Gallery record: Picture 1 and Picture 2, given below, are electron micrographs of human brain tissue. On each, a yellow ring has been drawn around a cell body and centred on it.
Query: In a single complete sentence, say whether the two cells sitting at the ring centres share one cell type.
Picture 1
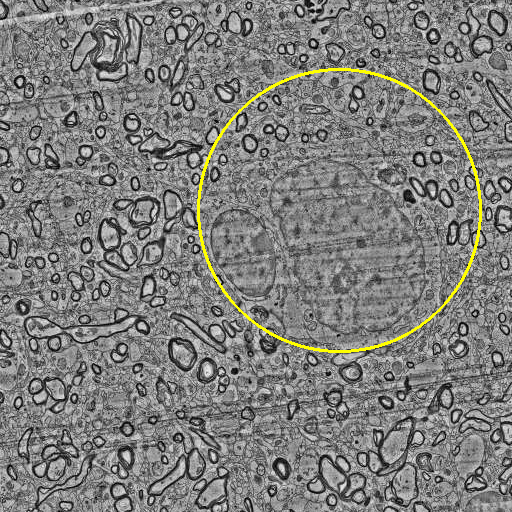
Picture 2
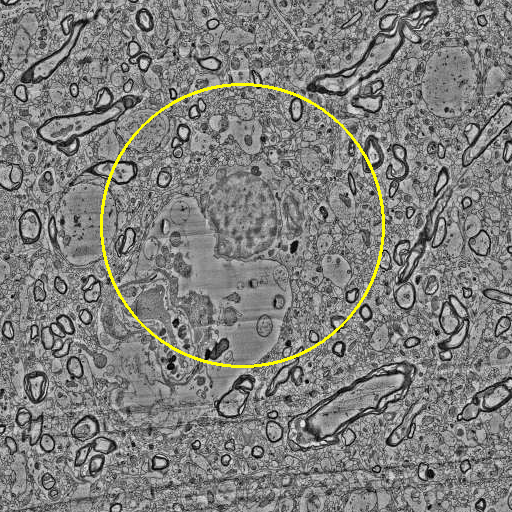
No, in the two pictures the cells at the rings' centres are of two separate types.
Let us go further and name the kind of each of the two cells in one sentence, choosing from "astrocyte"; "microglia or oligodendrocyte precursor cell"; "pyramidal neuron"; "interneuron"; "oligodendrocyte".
The ring of the first picture is on an interneuron, the ring of the second on an oligodendrocyte.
